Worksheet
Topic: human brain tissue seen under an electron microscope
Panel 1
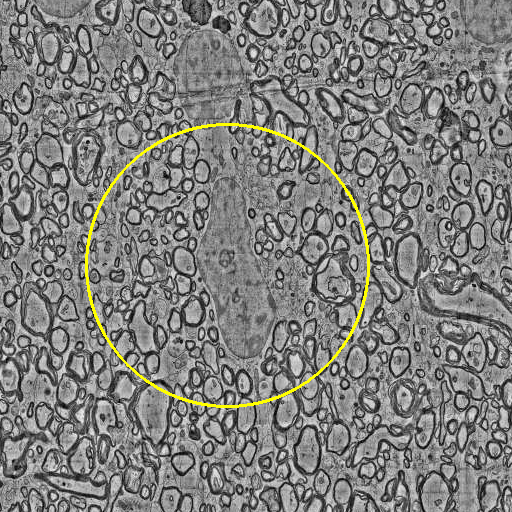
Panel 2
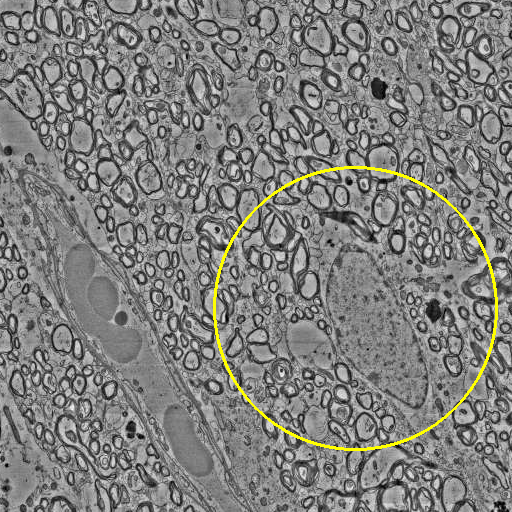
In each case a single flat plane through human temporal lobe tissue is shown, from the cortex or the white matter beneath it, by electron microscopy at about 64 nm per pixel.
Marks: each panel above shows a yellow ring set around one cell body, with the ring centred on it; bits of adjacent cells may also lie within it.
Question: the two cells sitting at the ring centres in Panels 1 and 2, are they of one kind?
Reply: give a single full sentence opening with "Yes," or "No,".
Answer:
No, the two ring-centre cells in Panel 1 and Panel 2 are of two kinds.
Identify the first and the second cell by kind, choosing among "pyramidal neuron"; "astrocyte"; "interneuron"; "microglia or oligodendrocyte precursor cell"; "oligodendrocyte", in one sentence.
The one in the first picture is a microglial cell or oligodendrocyte precursor cell, while the one in the second is an astrocyte.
